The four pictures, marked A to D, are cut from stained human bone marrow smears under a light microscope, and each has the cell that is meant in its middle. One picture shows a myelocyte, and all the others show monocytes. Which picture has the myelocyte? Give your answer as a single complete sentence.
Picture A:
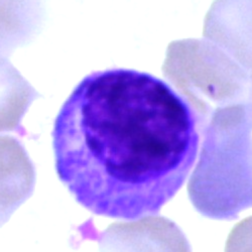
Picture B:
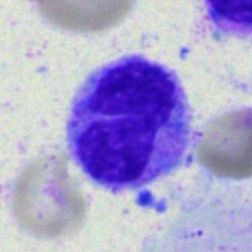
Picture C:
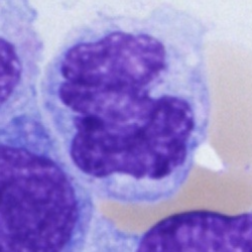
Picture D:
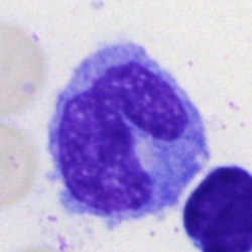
Picture A is the one that shows the myelocyte.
